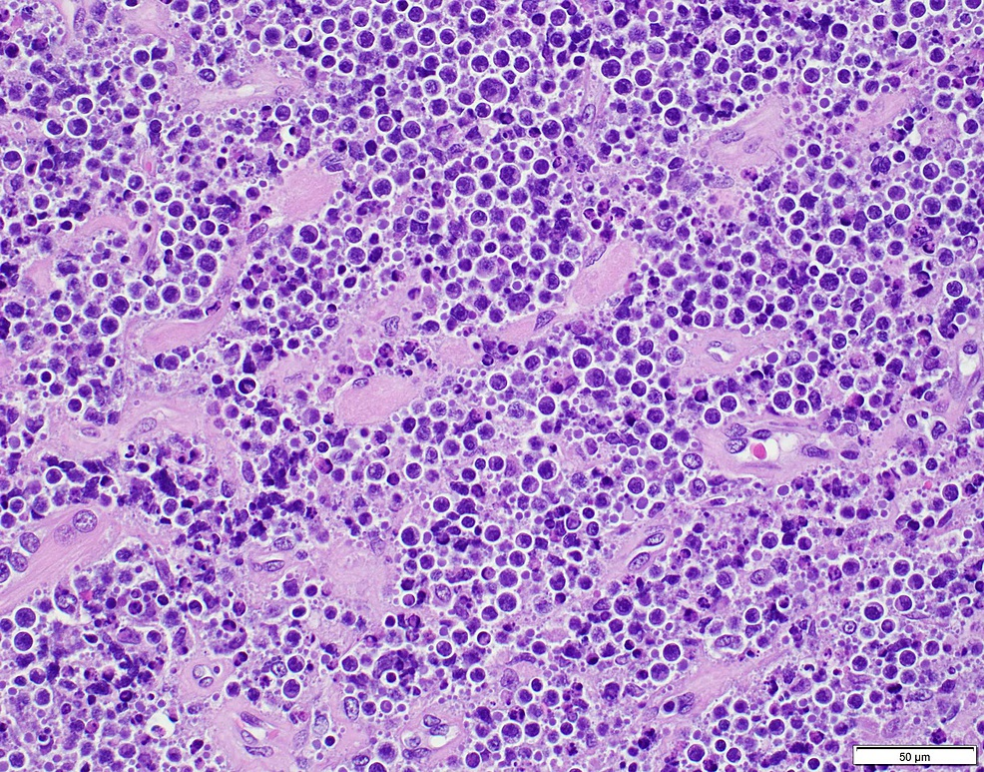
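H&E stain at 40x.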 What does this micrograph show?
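This is a dense, diffuse infiltrate of large lymphocytes that fills the whole field in sheets without any nodular pattern. The cells are round and lie loosely apart, each with a round purple nucleus, scant cytoplasm and often a clear halo around it. Thin pink strands of connective tissue and small vessels, some holding red blood cells, run between the sheets. Scattered throughout are many small, very dark, fragmented bodies, the debris of dying cells, giving the field a mottled look.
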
